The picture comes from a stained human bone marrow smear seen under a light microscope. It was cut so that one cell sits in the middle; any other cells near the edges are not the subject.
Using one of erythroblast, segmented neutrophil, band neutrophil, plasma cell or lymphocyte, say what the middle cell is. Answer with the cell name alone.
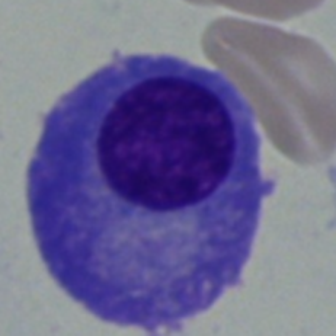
plasma cell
